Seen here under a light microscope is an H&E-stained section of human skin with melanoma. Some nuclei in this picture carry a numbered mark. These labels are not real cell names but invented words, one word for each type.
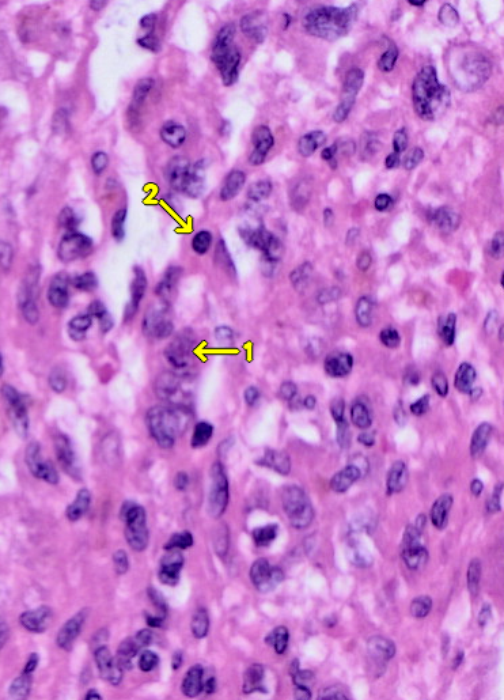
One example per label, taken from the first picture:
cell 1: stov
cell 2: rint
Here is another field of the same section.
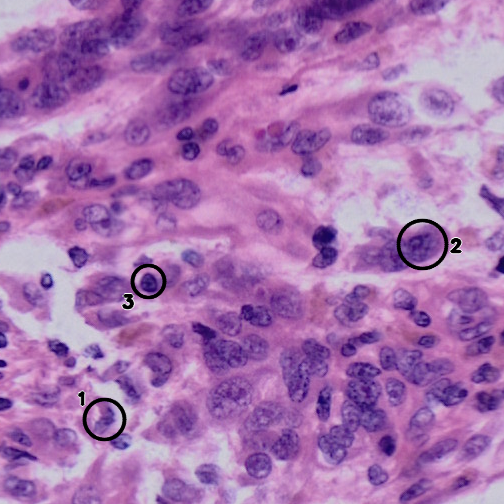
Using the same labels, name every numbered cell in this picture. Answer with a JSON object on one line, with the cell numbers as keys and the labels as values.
{"1": "stov", "2": "stov", "3": "rint"}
